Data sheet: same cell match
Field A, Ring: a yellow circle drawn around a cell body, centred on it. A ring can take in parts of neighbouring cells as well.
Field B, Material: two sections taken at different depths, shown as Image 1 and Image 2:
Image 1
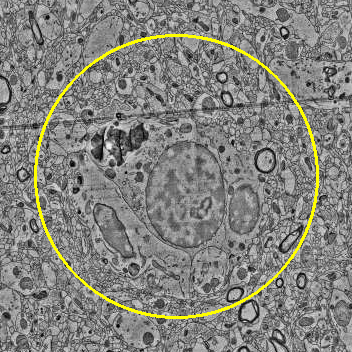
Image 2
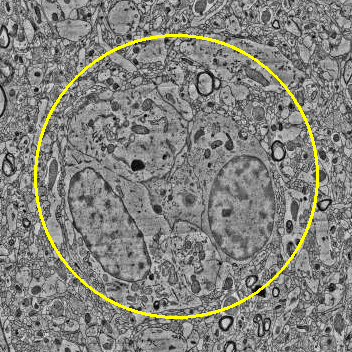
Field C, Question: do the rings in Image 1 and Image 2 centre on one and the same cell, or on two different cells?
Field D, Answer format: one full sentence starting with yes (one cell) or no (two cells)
Yes, one cell is ringed in yellow twice over.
